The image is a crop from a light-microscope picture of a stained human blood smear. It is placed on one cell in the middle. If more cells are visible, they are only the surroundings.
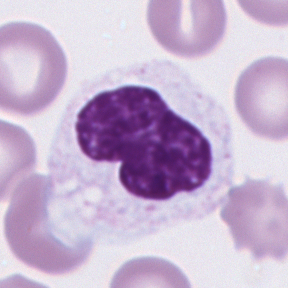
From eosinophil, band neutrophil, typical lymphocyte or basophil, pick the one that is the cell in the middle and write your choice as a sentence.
The centered cell in this crop is a band neutrophil.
